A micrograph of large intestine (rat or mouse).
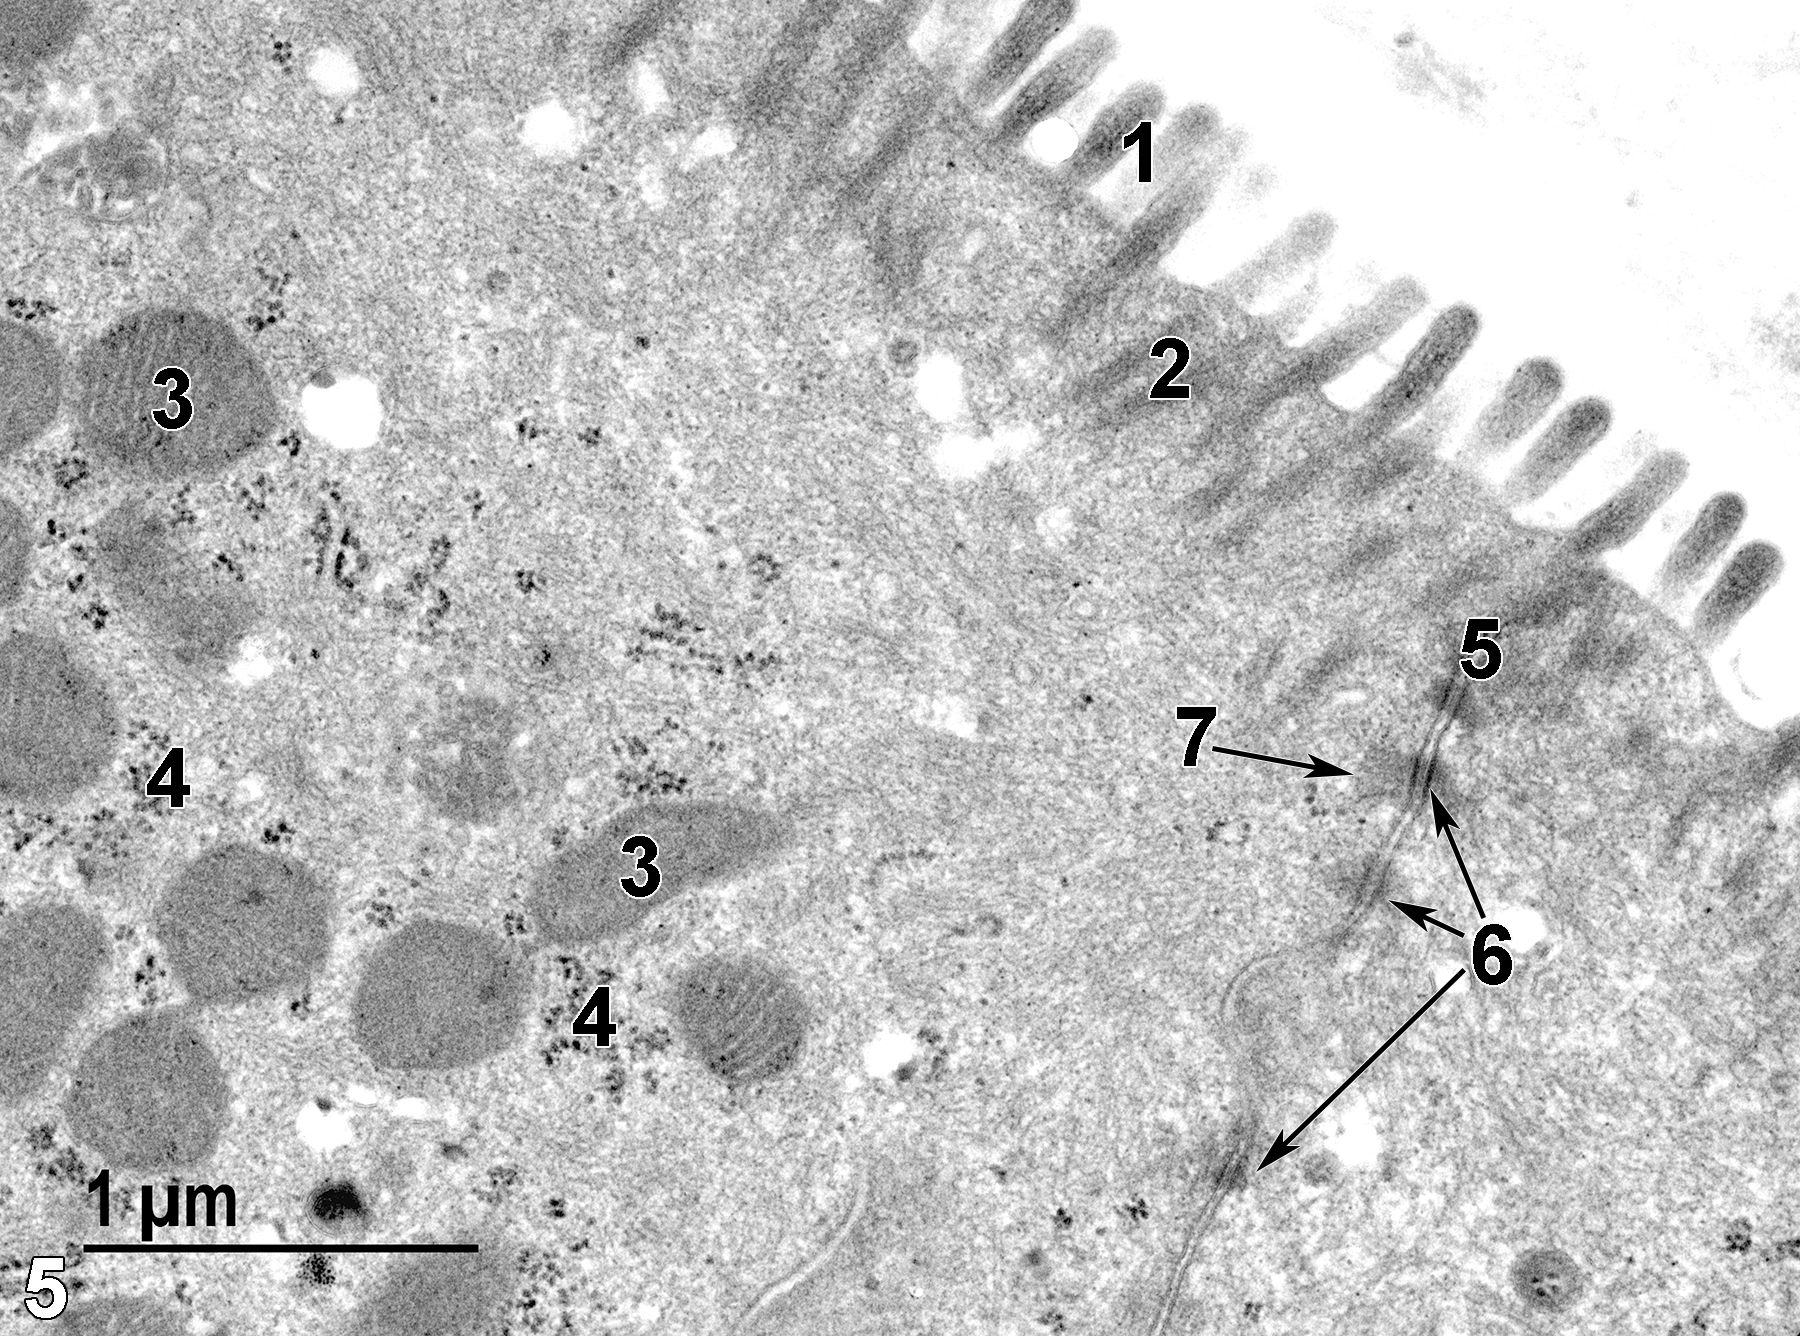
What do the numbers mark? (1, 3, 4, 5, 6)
1 - microvilli
3 - mitochondria
4 - free ribosomes
5 - junctional complex
6 - desmosomes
